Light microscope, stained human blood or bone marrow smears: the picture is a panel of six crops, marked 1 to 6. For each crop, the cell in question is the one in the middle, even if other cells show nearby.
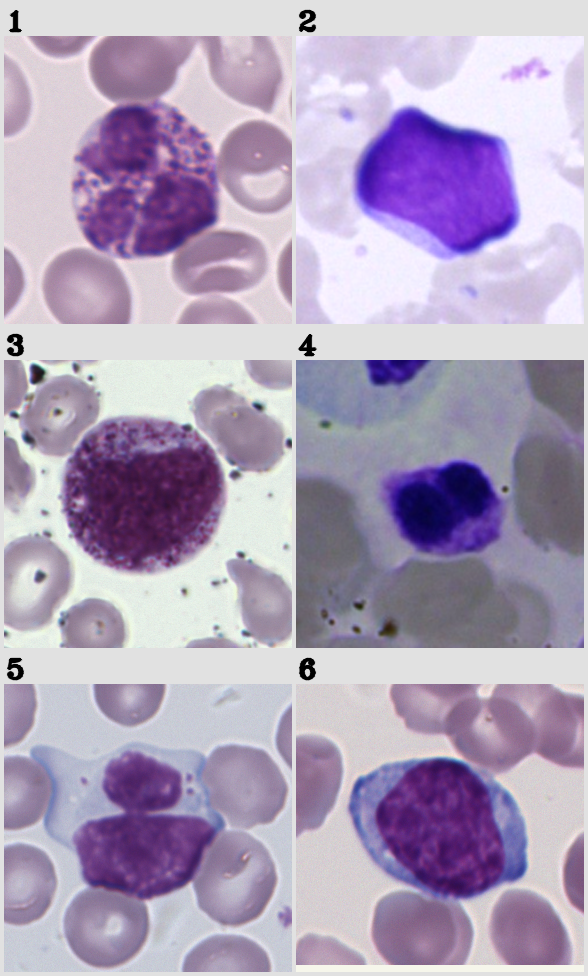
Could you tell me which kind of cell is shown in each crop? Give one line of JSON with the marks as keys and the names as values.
{"1": "basophil", "2": "blast", "3": "promyelocyte", "4": "basophil", "5": "blast", "6": "blast"}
